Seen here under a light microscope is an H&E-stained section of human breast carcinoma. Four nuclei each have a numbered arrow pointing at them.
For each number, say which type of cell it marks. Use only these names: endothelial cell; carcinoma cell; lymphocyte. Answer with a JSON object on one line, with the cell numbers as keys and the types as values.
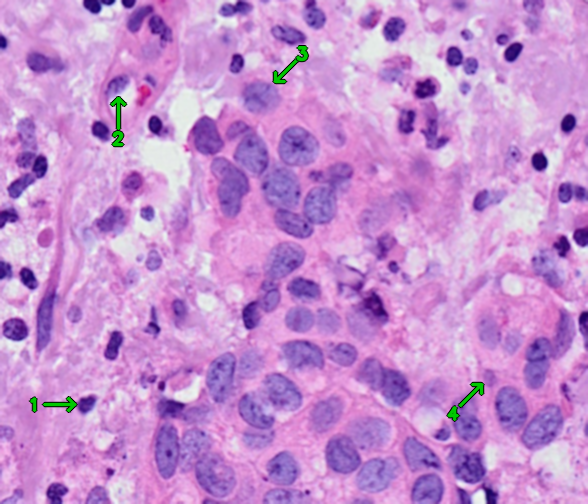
{"1": "lymphocyte", "2": "endothelial cell", "3": "carcinoma cell", "4": "carcinoma cell"}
